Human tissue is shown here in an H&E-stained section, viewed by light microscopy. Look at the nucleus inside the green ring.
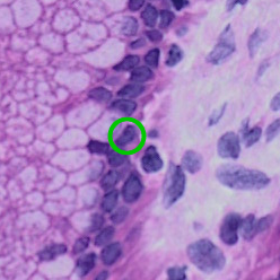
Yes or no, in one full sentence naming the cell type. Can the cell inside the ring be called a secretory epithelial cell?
Yes, and to confirm, the cell inside the ring is a secretory epithelial cell.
